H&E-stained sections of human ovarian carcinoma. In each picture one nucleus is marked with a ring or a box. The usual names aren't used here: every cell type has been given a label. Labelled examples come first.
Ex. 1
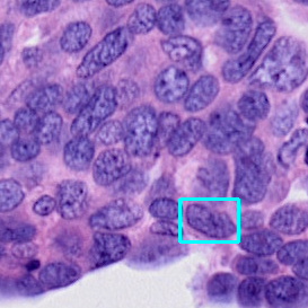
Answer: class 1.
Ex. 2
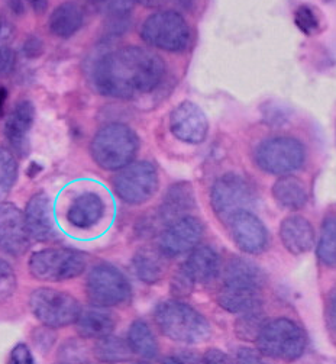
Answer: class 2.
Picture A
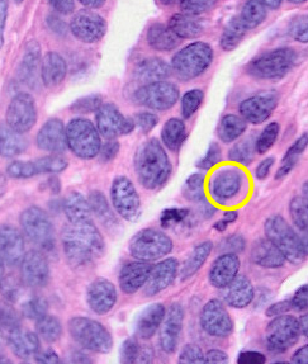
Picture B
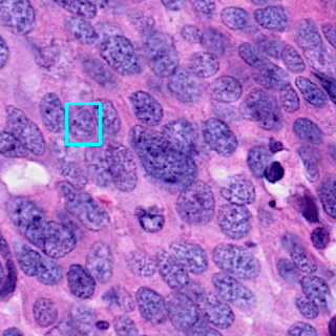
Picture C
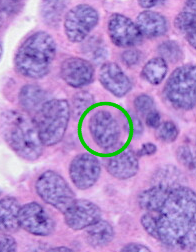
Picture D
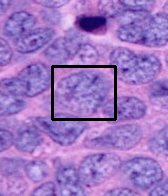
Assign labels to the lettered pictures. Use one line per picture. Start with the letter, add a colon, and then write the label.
A: class 1.
B: class 1.
C: class 1.
D: class 1.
